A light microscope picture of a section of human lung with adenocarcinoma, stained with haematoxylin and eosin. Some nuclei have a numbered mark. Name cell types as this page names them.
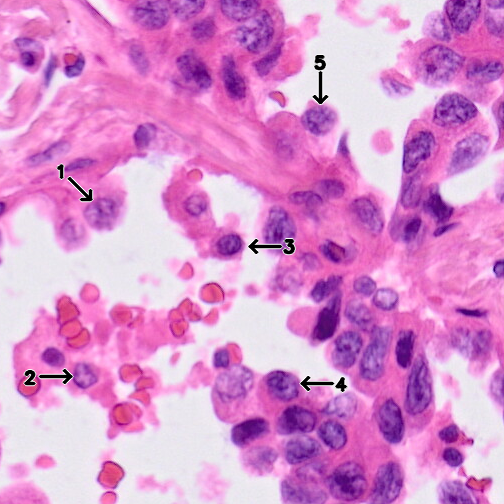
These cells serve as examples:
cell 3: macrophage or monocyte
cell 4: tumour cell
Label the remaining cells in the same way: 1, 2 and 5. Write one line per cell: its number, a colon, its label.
1: tumour cell
2: macrophage or monocyte
5: tumour cell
